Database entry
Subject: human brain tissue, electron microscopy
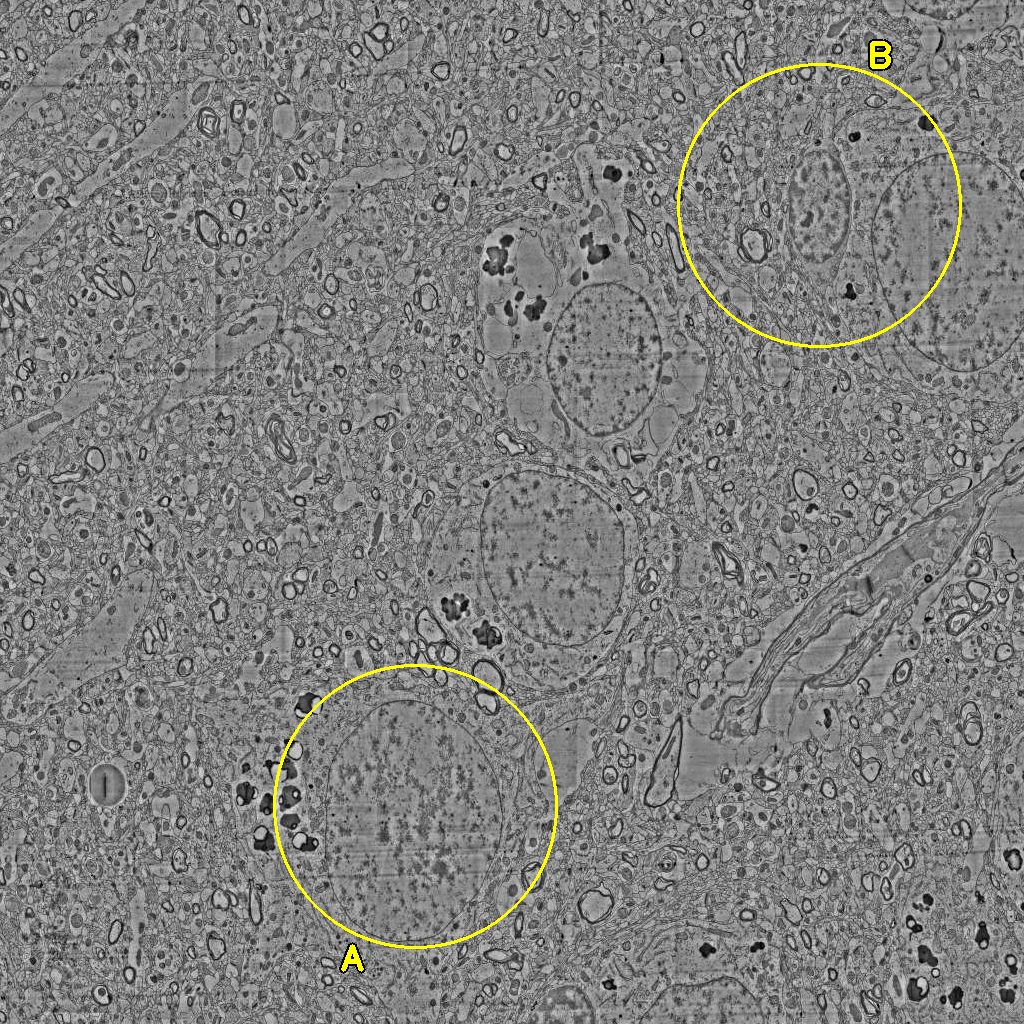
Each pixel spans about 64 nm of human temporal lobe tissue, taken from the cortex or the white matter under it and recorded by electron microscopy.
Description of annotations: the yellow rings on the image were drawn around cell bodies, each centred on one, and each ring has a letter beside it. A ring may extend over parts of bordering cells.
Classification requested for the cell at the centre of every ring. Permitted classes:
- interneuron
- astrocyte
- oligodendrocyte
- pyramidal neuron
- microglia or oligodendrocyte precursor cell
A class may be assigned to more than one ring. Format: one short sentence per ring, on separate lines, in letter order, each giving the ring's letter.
The cell body at the centre of ring A is a pyramidal neuron.
The cell body at the centre of ring B is an oligodendrocyte.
